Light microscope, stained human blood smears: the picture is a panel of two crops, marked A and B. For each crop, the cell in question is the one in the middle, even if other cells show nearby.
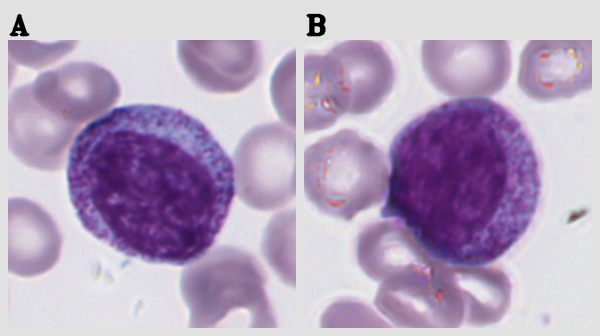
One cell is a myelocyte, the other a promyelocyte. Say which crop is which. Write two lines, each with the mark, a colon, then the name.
A: promyelocyte
B: myelocyte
